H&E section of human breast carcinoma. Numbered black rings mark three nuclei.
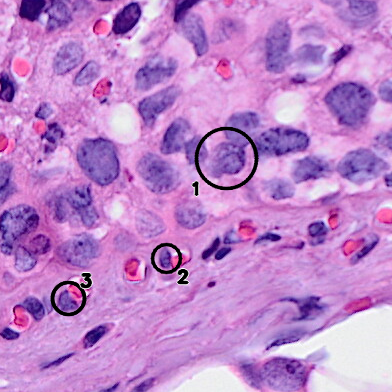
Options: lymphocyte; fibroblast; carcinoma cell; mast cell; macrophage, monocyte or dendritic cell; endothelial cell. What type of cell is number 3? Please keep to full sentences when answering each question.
The cell that is numbered 3 is an endothelial cell.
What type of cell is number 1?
The cell given label 1 is a carcinoma cell.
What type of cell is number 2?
In the tissue shown, cell 2 is an endothelial cell.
